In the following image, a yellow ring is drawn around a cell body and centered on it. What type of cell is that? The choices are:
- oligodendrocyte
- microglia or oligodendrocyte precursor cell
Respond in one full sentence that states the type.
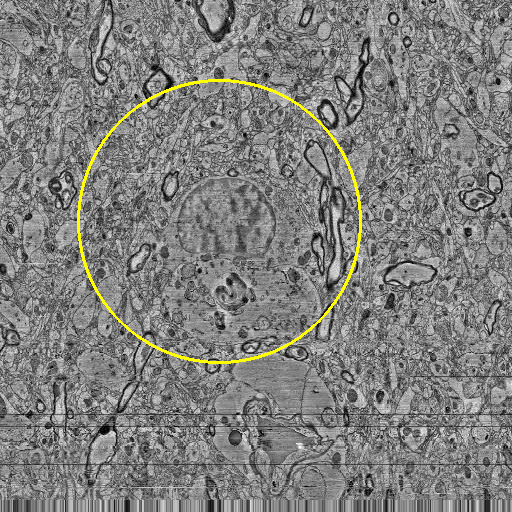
The cell at the center of the yellow ring in the image is an oligodendrocyte.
